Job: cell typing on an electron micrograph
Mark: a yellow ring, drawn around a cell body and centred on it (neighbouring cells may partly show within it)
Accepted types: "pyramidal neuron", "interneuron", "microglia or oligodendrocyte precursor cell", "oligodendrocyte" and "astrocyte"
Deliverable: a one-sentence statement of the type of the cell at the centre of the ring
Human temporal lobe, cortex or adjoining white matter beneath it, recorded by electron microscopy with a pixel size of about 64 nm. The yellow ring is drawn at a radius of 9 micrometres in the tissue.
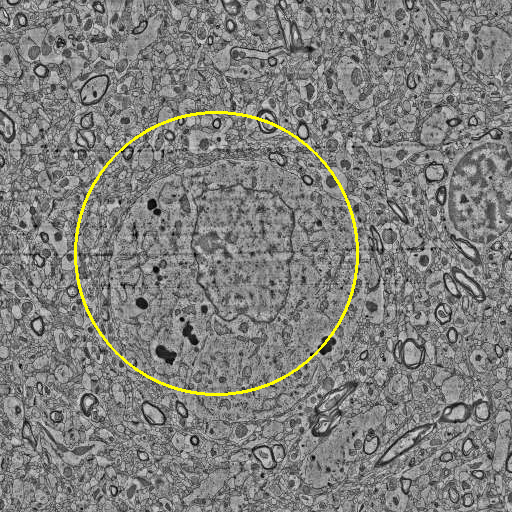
The centred cell body is that of a pyramidal neuron.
